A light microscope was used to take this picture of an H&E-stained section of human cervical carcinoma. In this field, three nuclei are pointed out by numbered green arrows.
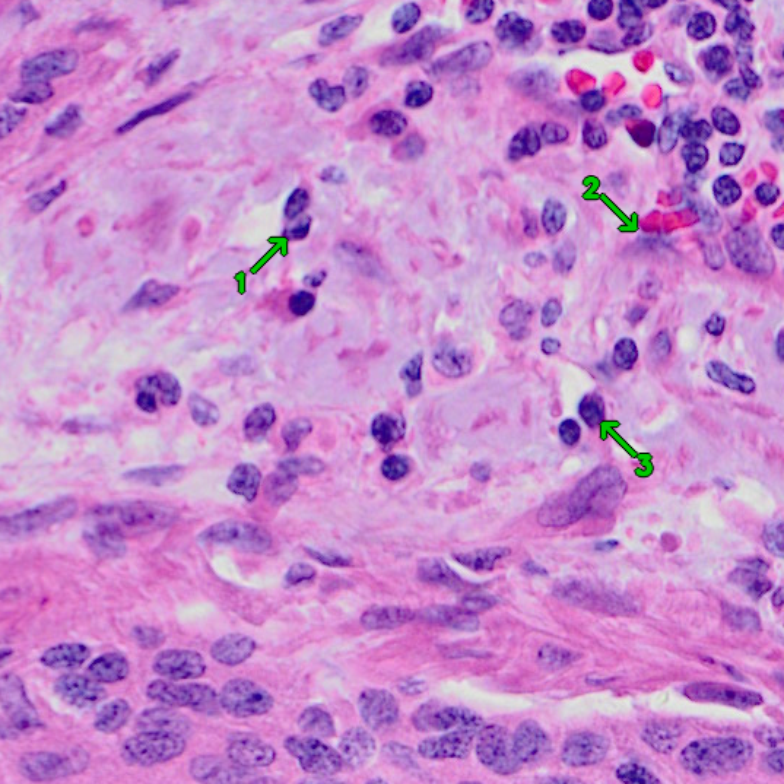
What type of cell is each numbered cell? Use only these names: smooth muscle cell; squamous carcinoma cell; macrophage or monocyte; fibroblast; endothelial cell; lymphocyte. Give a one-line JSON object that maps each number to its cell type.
{"1": "lymphocyte", "2": "endothelial cell", "3": "lymphocyte"}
